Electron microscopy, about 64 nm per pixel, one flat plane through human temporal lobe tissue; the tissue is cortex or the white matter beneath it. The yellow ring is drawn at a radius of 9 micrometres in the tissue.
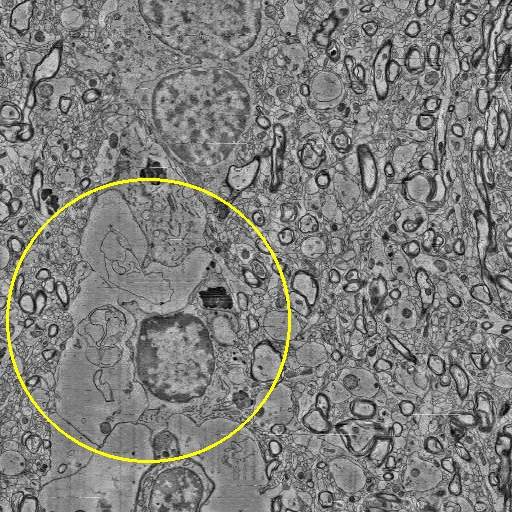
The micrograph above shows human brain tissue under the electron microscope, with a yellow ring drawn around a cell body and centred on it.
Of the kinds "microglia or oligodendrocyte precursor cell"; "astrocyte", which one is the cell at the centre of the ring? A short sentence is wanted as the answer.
The one at the centre of the ring is a microglial cell or oligodendrocyte precursor cell.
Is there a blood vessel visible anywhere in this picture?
Yes, one is visible.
